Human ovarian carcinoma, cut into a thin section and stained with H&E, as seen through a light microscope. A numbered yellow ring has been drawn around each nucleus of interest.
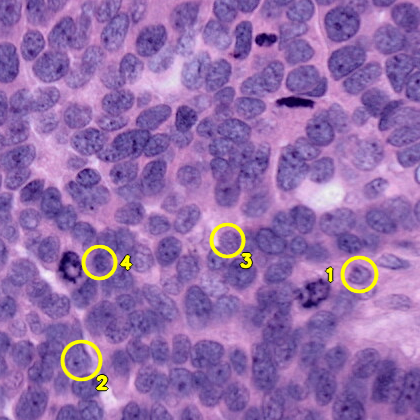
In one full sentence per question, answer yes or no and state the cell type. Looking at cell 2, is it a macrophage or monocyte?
No, number 2 belongs to a carcinoma cell, not to a macrophage or monocyte.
